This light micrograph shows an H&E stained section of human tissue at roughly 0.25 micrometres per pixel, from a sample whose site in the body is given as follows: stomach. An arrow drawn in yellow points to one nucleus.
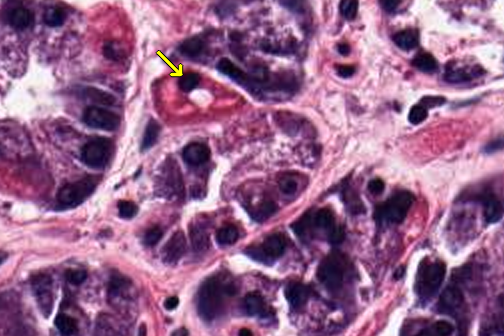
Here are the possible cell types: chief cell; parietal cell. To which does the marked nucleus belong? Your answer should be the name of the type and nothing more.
parietal cell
